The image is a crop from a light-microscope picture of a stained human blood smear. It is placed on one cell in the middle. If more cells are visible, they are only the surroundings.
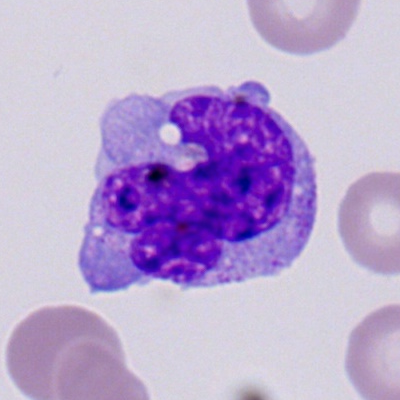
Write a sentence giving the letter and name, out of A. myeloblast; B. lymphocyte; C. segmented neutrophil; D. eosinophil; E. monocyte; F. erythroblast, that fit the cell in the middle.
The cell centered in the crop is a monocyte, making option E the correct pick.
